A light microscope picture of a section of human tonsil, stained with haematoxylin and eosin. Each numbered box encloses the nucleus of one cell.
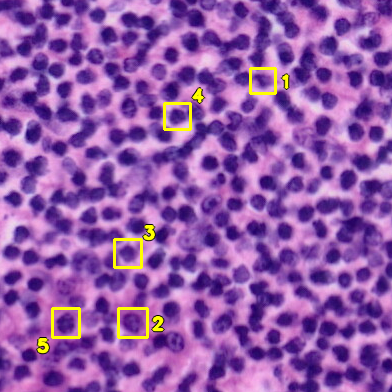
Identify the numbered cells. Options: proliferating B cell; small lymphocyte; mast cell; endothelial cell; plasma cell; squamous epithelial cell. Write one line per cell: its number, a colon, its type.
1: small lymphocyte
2: plasma cell
3: small lymphocyte
4: small lymphocyte
5: plasma cell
